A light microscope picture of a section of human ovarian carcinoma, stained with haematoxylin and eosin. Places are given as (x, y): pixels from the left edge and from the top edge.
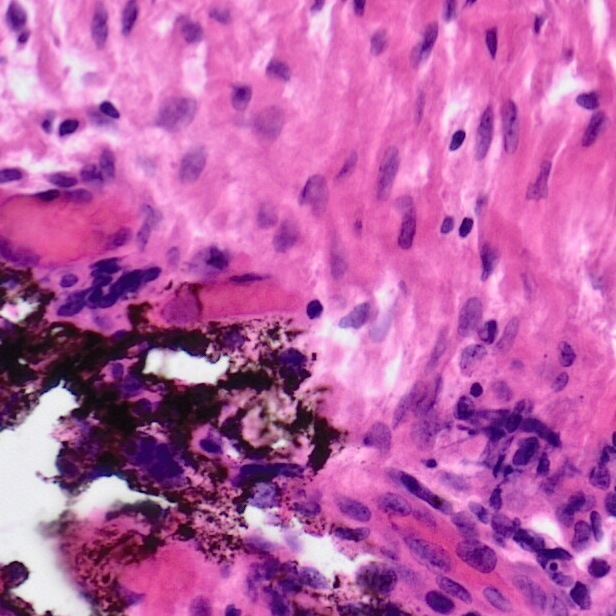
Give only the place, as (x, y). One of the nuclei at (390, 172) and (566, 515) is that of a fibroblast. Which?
(390, 172)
